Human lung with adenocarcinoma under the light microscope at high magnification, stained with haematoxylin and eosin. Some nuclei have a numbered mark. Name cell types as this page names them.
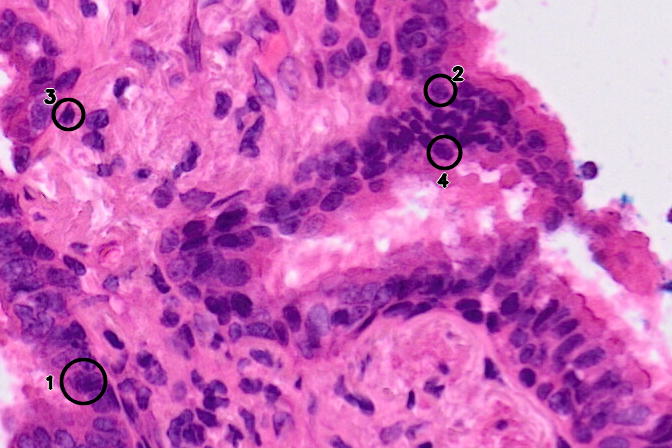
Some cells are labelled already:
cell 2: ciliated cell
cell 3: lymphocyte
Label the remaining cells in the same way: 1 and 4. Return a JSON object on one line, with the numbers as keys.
{"1": "ciliated cell", "4": "ciliated cell"}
